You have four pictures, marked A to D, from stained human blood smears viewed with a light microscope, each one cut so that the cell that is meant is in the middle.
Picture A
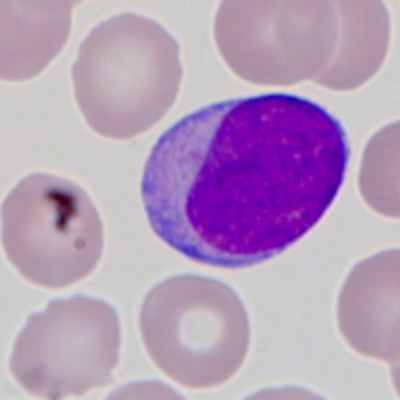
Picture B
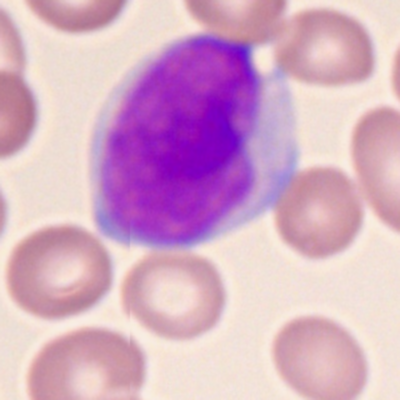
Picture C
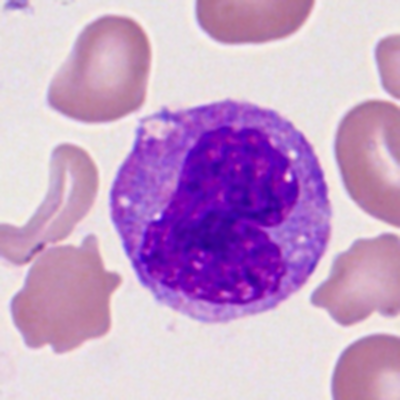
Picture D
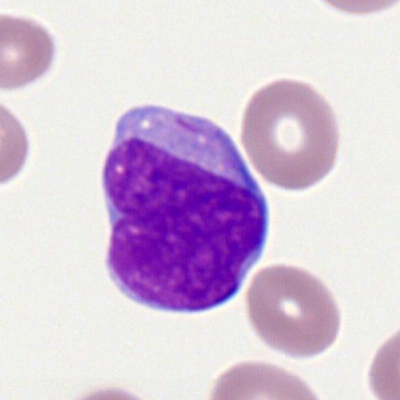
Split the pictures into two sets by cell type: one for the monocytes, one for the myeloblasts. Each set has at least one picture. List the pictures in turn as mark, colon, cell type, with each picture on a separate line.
A: myeloblast
B: myeloblast
C: monocyte
D: myeloblast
